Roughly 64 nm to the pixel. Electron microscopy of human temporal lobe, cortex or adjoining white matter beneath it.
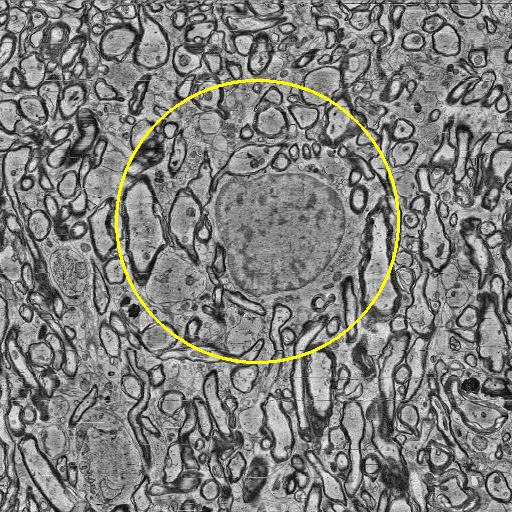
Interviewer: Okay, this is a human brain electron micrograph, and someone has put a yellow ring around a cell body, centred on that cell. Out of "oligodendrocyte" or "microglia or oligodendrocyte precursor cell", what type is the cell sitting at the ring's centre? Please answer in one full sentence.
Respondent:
The cell at the centre of the yellow ring in this picture is an oligodendrocyte.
